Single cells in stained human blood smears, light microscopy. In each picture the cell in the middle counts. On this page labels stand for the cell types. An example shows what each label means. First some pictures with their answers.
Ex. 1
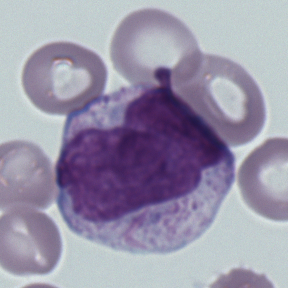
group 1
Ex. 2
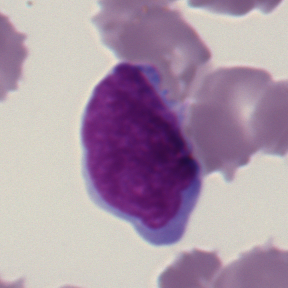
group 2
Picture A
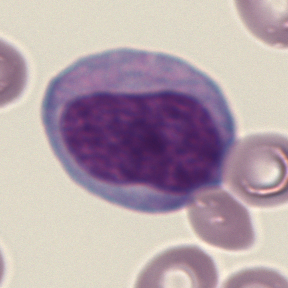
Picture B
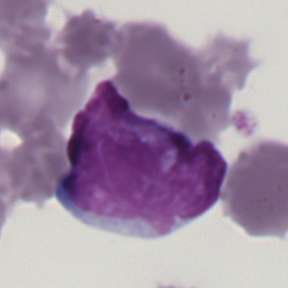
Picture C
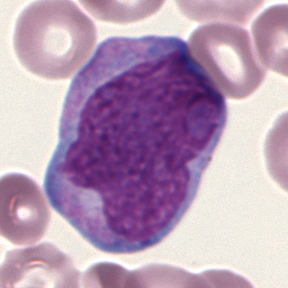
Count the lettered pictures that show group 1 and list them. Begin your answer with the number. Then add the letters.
2, namely A, C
